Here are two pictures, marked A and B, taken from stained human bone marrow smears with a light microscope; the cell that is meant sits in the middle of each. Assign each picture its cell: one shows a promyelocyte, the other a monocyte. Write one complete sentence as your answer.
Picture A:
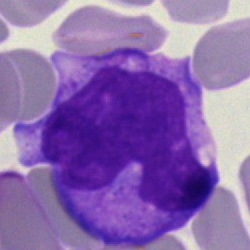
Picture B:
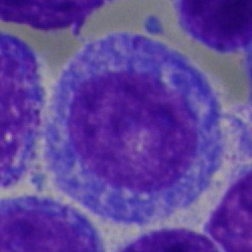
Picture A shows a monocyte and picture B shows a promyelocyte.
